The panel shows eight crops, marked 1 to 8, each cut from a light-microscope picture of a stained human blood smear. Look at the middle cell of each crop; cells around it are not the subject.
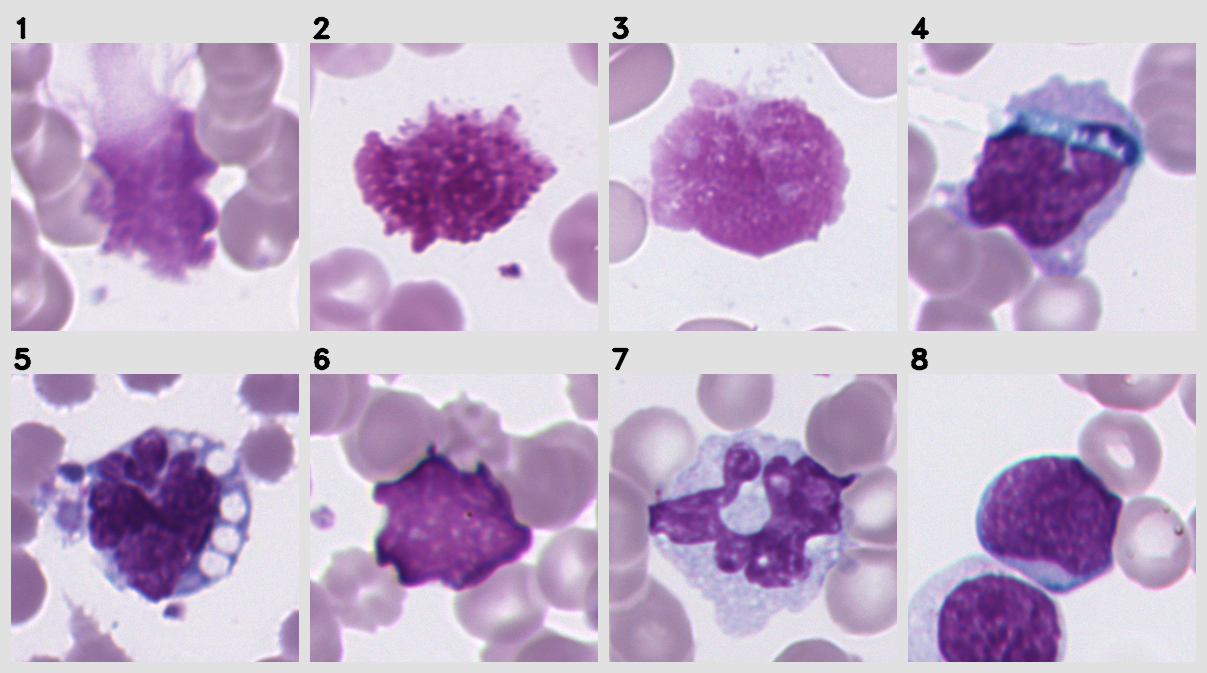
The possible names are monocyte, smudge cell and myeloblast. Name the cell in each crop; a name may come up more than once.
1: smudge cell
2: smudge cell
3: smudge cell
4: monocyte
5: monocyte
6: smudge cell
7: monocyte
8: myeloblast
